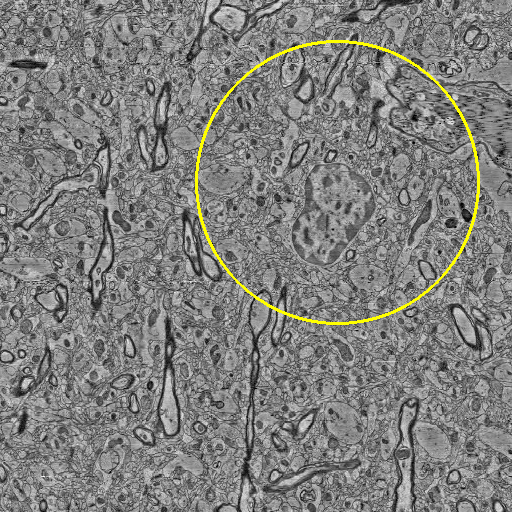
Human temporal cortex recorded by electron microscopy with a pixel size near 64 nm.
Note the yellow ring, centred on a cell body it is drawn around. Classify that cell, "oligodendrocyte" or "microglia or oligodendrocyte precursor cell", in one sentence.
The cell the ring is centred on is a microglial cell or oligodendrocyte precursor cell.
